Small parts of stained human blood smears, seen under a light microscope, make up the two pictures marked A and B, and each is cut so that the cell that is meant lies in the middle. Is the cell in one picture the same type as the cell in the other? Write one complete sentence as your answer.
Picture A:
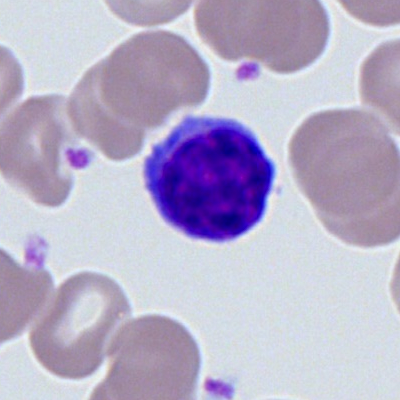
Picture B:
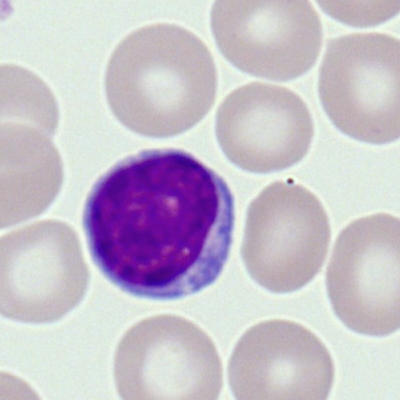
Yes, both cells are lymphocytes.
